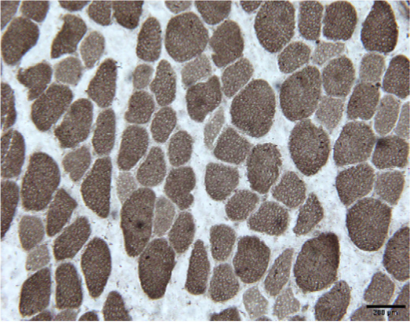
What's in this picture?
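A cross section of skeletal muscle in which rounded to polygonal fibers lie separated by wide white spaces. Nearly all fibers stain dark brown with a finely granular texture, while a few fibers scattered among them are distinctly paler grey-brown. The fibers vary somewhat in size.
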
